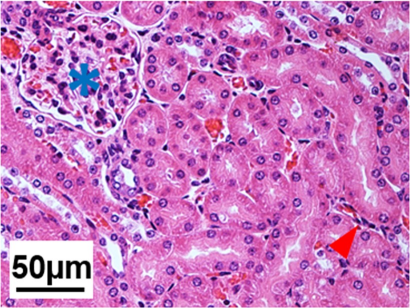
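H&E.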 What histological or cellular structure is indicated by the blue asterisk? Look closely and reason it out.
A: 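Glomeruli. A round tuft of capillary loops with many small nuclei. The tuft sits inside a thin capsule with a clear space around it. It is surrounded by cross-sections of tubules.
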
